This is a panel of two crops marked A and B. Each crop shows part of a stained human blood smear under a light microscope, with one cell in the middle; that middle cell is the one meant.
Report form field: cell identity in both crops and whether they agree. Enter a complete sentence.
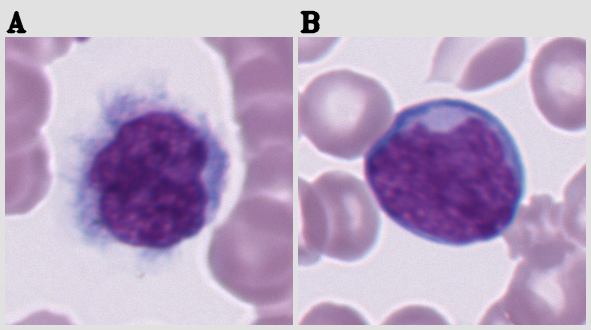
No, a monocyte is in crop A, while a myeloblast is in crop B.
